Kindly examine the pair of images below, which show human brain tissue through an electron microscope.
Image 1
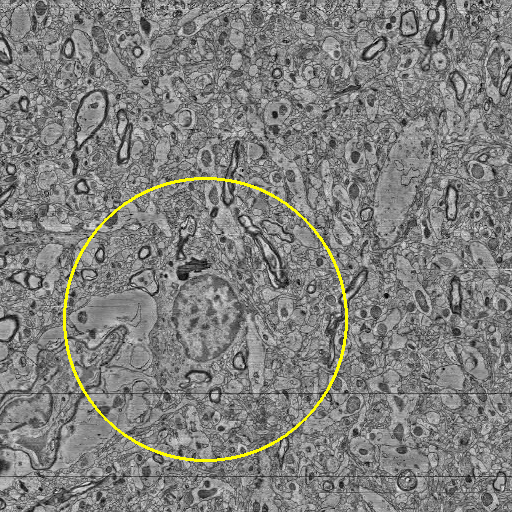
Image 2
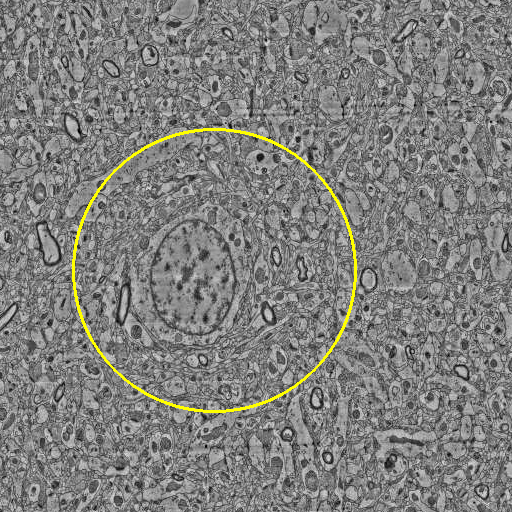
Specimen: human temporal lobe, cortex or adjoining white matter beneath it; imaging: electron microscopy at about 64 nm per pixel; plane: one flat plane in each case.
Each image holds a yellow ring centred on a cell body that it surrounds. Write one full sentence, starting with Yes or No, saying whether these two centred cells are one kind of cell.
No, the cells at the centres of the yellow rings belong to two kinds of cell.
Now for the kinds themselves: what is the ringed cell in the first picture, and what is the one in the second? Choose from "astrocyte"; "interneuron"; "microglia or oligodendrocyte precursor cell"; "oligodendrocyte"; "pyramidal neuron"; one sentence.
Here the first cell is an oligodendrocyte and the second cell is a pyramidal neuron.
